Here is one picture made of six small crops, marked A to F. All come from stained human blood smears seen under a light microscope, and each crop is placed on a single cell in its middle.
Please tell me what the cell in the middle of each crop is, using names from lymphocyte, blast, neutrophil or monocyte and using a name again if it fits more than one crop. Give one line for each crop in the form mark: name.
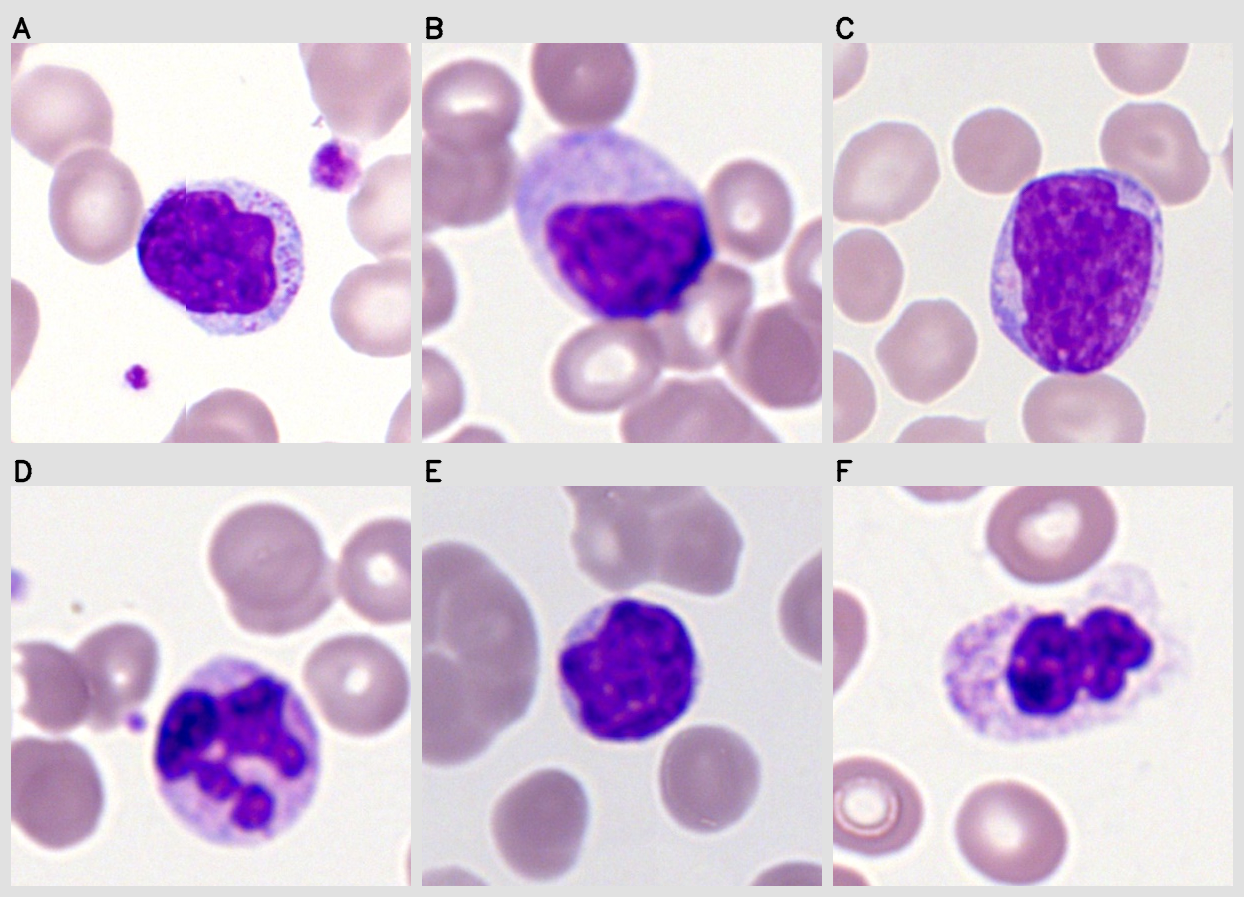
A: lymphocyte
B: lymphocyte
C: blast
D: neutrophil
E: lymphocyte
F: neutrophil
